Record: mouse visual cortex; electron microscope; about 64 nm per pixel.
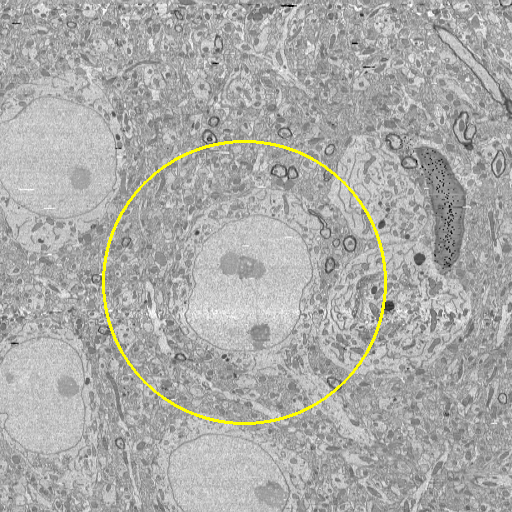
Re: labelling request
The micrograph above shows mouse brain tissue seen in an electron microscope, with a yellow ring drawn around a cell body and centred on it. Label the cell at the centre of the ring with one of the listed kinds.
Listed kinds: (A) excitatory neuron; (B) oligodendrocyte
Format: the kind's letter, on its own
A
